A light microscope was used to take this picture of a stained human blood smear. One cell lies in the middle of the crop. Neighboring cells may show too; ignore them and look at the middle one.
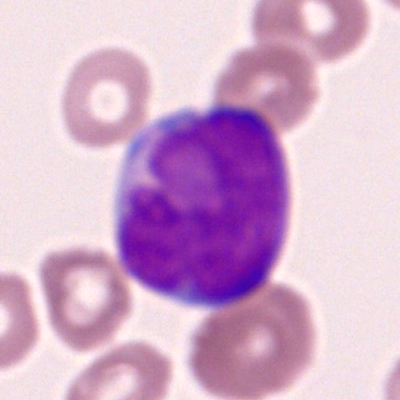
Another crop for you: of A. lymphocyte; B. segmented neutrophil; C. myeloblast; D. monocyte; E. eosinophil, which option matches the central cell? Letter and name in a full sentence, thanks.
Since the cell in the centre is a myeloblast, the correct option is C.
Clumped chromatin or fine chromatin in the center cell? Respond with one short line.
The chromatin within its nucleus forms coarse clumps.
